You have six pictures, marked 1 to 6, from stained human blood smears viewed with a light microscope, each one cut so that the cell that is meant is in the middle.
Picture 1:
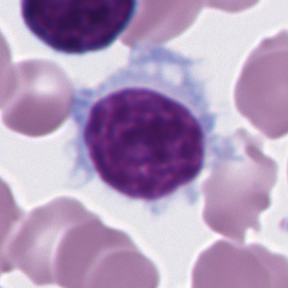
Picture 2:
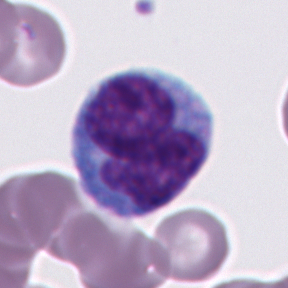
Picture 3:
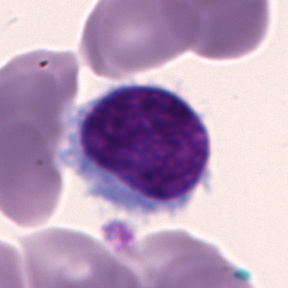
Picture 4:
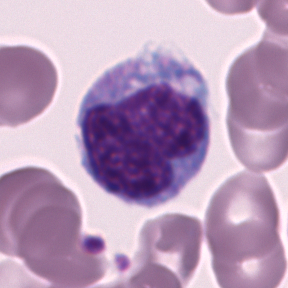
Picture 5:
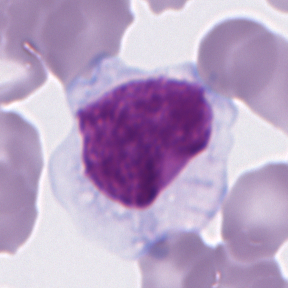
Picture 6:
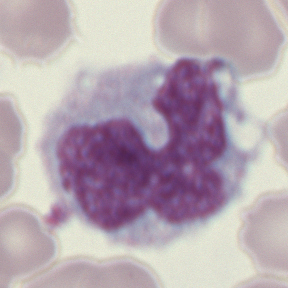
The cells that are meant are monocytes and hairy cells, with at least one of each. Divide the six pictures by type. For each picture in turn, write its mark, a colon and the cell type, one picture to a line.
1: hairy cell
2: monocyte
3: hairy cell
4: monocyte
5: hairy cell
6: monocyte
